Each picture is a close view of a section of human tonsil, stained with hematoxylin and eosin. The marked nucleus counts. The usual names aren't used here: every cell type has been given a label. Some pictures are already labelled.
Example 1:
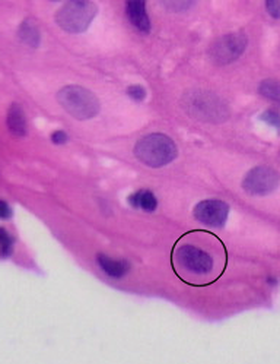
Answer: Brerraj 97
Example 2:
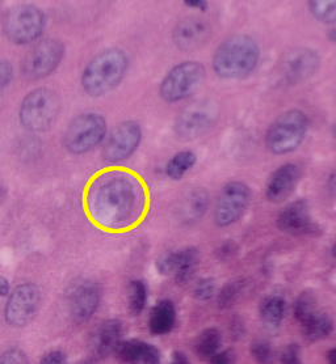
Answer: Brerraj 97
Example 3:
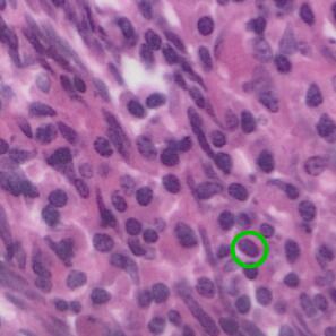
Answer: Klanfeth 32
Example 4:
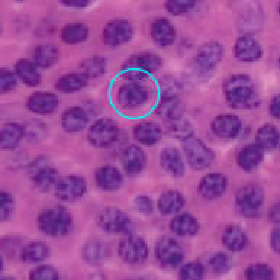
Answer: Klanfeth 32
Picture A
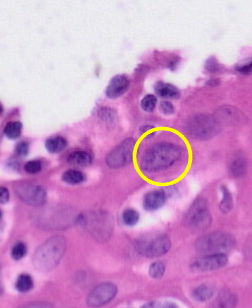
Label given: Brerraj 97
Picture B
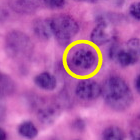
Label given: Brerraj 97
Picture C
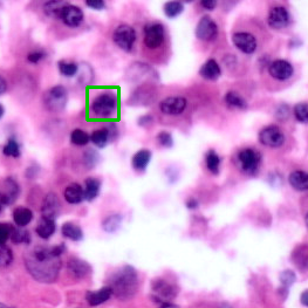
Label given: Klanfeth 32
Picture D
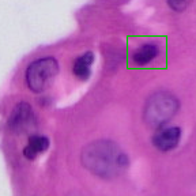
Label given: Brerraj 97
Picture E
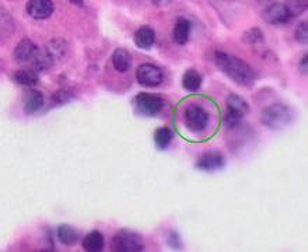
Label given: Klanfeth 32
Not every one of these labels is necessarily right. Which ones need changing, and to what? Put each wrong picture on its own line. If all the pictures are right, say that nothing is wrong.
B should be Klanfeth 32, not Brerraj 97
